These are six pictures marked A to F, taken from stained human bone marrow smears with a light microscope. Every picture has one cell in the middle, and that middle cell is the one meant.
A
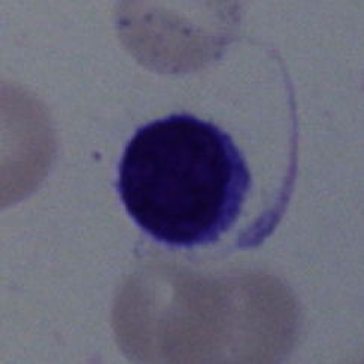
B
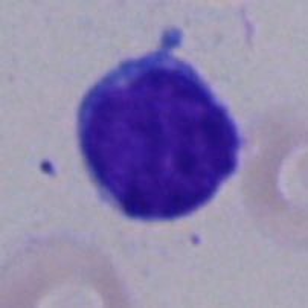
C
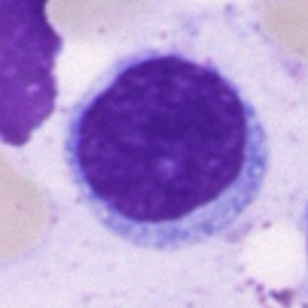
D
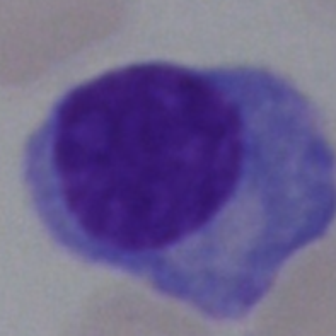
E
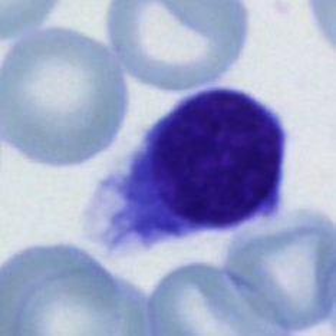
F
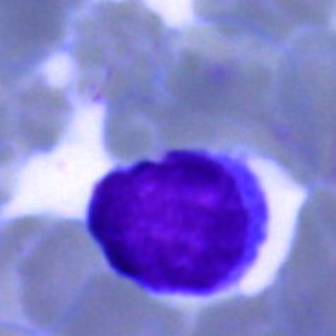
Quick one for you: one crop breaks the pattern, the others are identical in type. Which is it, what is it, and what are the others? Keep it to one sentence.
All of the other crops show lymphocytes; crop D, by contrast, is a plasma cell.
